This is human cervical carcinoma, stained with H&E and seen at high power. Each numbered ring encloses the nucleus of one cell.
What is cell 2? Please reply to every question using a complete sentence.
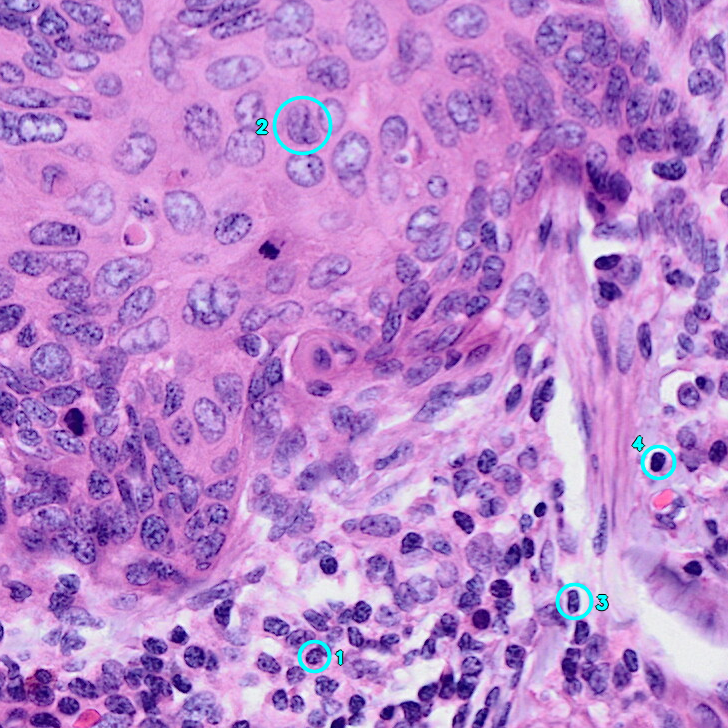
The cell identified by number 2 is a squamous carcinoma cell.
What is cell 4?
To a lymphocyte belongs the nucleus marked 4.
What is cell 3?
Cell 3, among those numbered, is a lymphocyte.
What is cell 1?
The marked cell with the number 1 is recognised as a lymphocyte.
